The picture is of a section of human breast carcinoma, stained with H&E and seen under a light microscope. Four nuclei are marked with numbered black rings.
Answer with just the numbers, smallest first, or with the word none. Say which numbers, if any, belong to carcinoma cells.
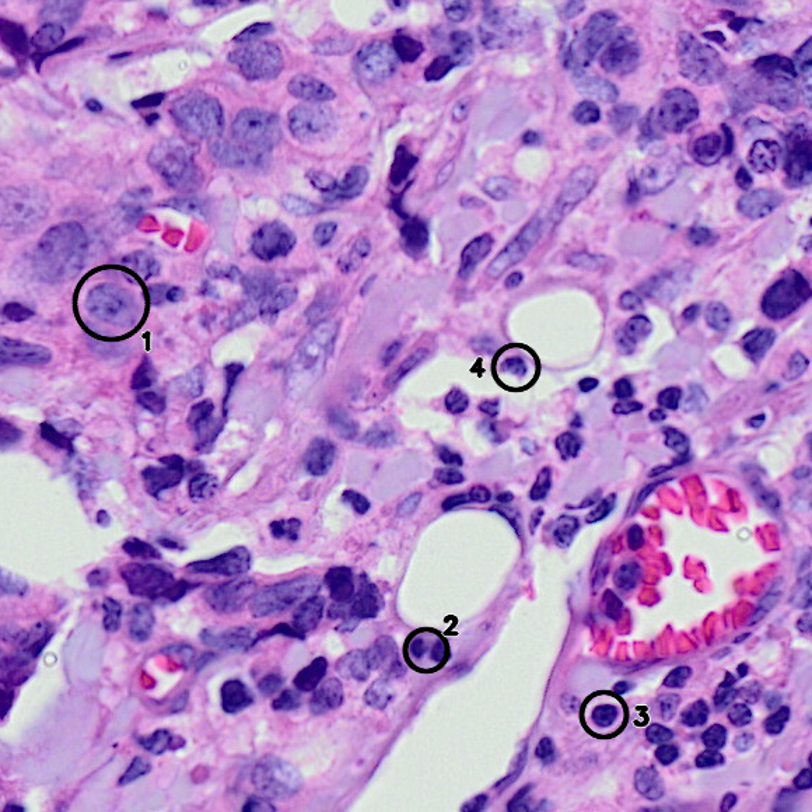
1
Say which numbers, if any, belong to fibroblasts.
none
